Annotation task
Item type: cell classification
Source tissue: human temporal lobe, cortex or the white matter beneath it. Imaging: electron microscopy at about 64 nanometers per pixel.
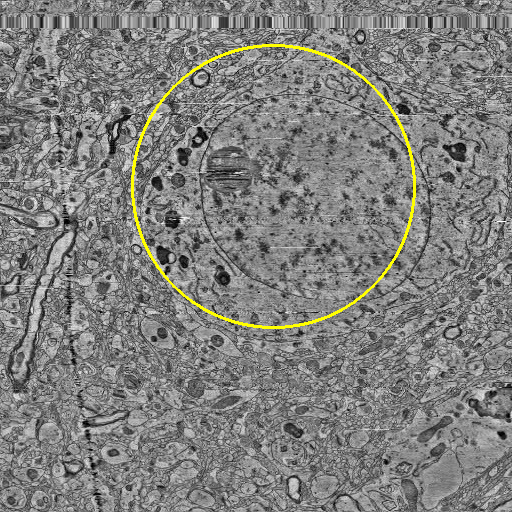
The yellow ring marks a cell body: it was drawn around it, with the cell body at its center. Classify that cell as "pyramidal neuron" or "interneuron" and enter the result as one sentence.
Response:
The ring's center falls on a pyramidal neuron.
